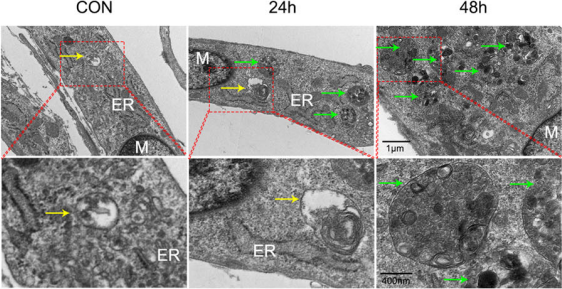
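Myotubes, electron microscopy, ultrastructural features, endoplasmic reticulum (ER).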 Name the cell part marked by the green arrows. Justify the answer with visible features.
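The green arrows point to round vesicles with dark, electron-dense, heterogeneous contents. There are many such vesicles, clustered in the cytoplasm. The answer: autolysosome.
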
